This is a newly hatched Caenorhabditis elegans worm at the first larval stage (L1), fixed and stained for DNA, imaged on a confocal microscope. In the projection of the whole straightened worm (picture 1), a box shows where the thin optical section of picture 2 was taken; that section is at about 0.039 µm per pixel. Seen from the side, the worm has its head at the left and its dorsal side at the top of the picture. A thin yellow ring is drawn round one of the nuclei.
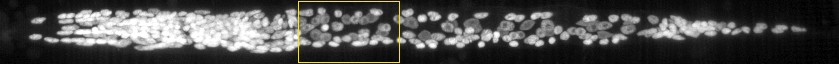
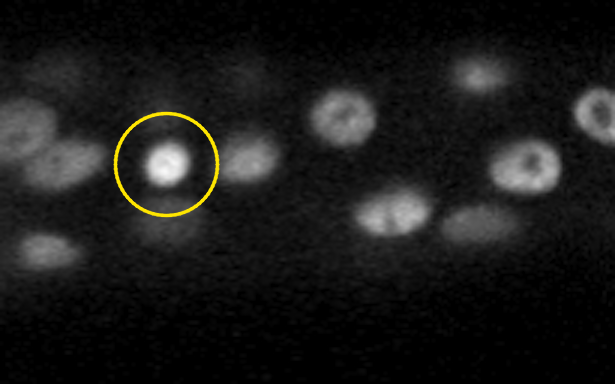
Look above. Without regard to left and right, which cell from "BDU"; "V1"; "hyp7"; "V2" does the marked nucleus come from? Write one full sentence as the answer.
The cell whose nucleus is marked is BDU, a neuron.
